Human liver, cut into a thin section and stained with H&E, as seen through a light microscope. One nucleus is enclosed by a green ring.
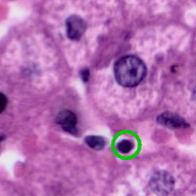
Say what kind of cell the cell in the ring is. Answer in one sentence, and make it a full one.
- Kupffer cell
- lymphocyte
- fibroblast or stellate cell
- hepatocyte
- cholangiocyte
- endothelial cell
As far as its identity is concerned, the cell in the ring is a lymphocyte.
